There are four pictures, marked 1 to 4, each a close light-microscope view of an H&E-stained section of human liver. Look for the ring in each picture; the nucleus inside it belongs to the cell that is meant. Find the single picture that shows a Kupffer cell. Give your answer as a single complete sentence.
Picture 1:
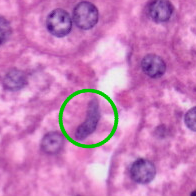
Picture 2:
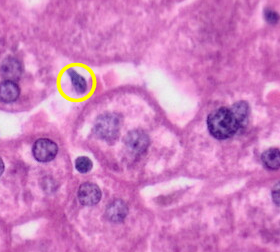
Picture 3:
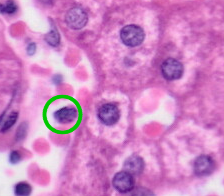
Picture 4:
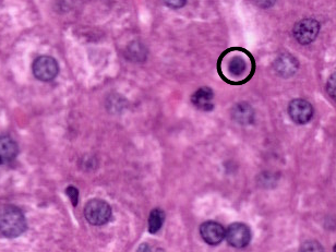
The Kupffer cell is the one in picture 1.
